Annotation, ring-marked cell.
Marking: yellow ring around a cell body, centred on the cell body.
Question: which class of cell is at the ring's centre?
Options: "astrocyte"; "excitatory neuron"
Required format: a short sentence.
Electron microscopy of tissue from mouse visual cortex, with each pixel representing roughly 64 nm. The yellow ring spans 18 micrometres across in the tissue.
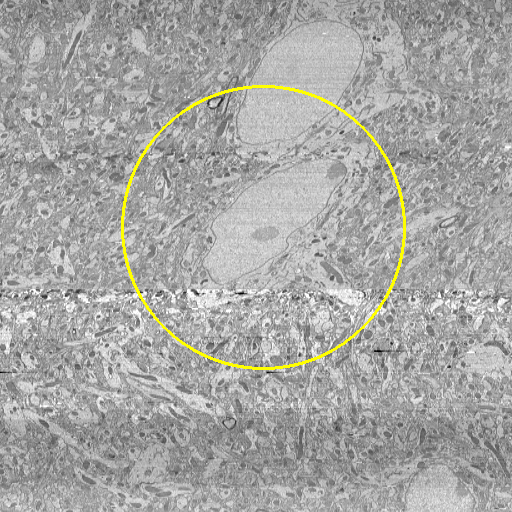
At the ring's centre is an excitatory neuron.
